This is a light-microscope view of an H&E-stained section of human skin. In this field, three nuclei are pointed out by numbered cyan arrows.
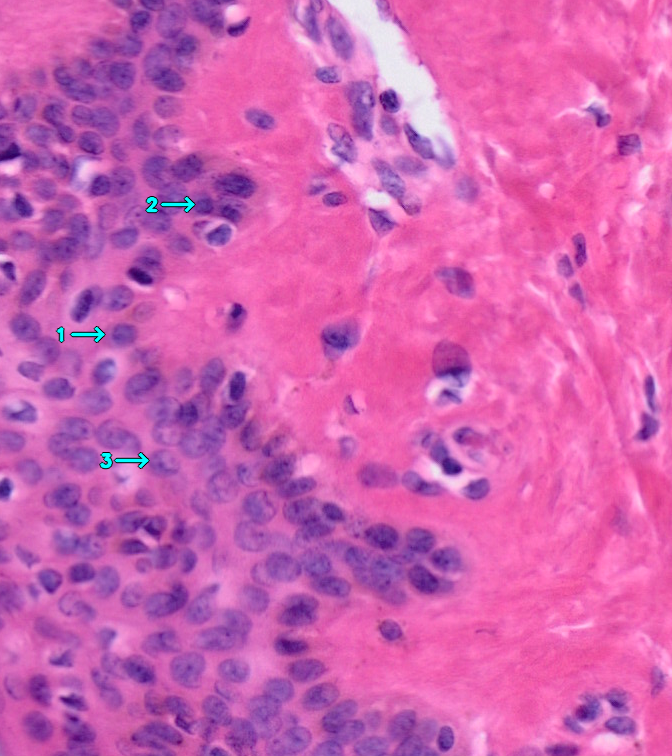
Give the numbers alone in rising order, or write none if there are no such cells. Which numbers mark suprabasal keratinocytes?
3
